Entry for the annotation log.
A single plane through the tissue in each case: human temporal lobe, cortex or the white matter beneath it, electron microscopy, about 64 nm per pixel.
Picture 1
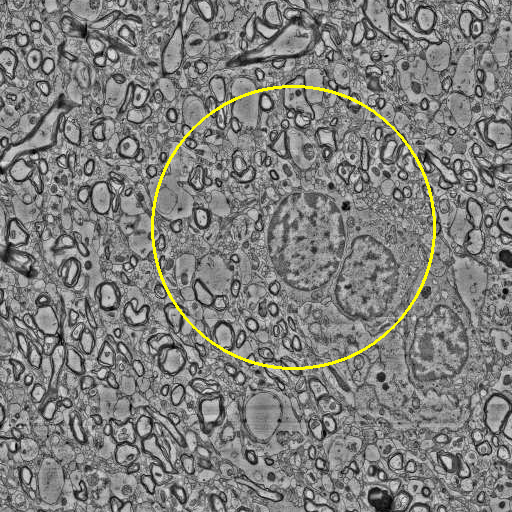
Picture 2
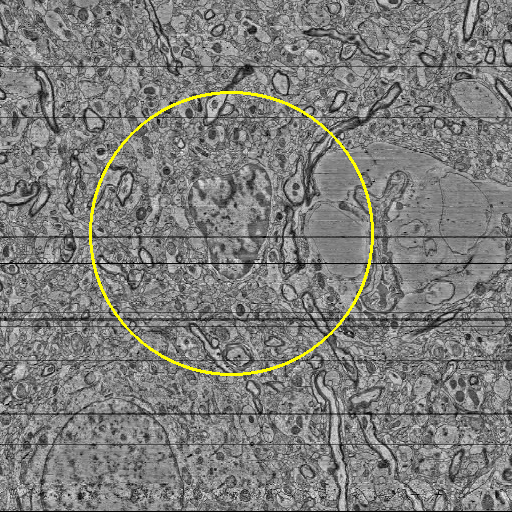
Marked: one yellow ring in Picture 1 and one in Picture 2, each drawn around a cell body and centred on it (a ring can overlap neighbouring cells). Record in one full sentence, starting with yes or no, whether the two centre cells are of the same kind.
No, the two cells are of two kinds.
